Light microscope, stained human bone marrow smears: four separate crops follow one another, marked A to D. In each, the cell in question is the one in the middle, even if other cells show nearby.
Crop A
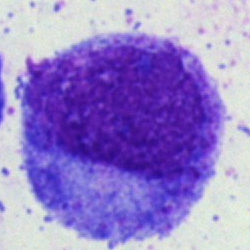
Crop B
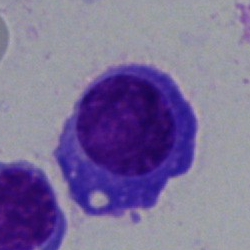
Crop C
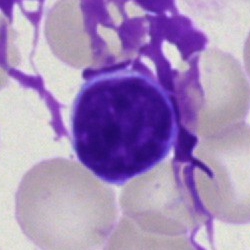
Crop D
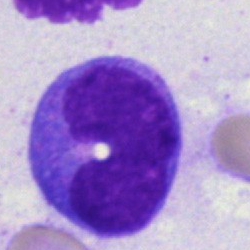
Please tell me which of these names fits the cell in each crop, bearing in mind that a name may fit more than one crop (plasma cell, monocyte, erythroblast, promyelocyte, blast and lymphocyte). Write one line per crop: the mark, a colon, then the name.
A: promyelocyte
B: plasma cell
C: lymphocyte
D: monocyte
